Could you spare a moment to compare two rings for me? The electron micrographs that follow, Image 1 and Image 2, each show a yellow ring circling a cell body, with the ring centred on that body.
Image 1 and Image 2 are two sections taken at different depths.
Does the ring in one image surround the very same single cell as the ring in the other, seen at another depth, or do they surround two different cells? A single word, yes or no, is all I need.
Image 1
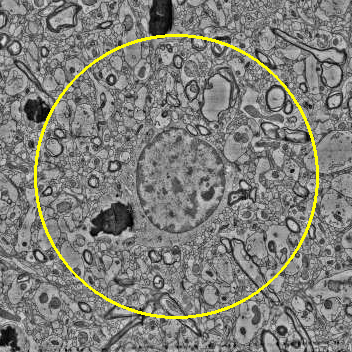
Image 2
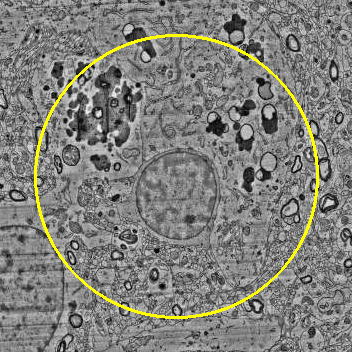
no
